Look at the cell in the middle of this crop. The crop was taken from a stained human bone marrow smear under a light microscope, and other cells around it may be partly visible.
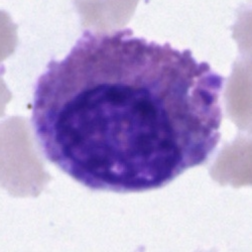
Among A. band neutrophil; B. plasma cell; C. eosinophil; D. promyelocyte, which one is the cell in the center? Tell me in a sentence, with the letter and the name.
Option C is the right one, for the cell in the middle is an eosinophil.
